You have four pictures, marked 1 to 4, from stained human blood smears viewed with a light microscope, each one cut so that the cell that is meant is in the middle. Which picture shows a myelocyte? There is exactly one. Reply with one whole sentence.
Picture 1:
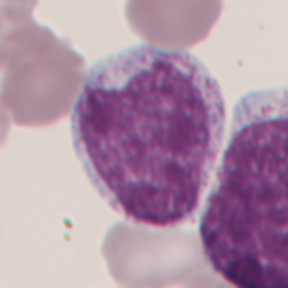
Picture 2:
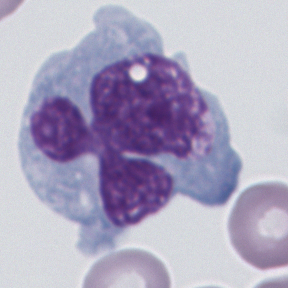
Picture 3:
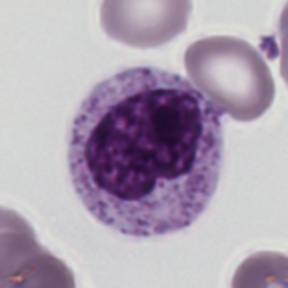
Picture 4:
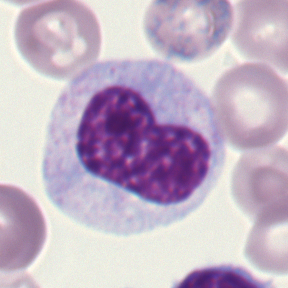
Picture 1 shows the myelocyte.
